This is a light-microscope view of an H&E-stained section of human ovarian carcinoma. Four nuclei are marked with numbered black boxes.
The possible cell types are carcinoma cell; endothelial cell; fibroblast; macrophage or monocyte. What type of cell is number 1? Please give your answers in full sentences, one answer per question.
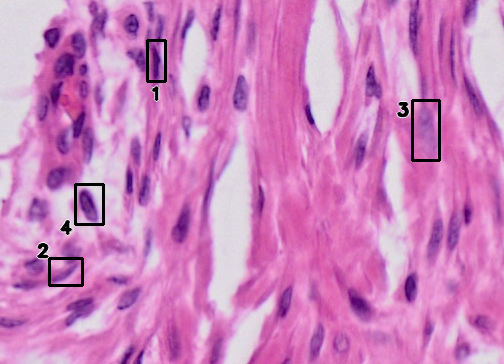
The cell referred to as 1 is a fibroblast.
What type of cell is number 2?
Nucleus 2 in this section belongs to a fibroblast.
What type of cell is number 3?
Cell 3 in the field of view is a fibroblast.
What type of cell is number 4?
In the marked set, the cell given number 4 is a macrophage or monocyte.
